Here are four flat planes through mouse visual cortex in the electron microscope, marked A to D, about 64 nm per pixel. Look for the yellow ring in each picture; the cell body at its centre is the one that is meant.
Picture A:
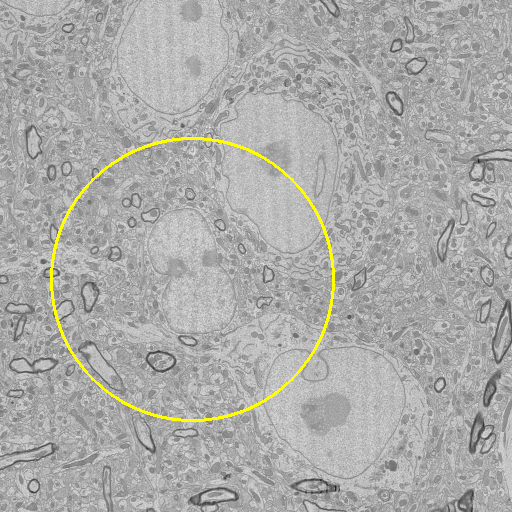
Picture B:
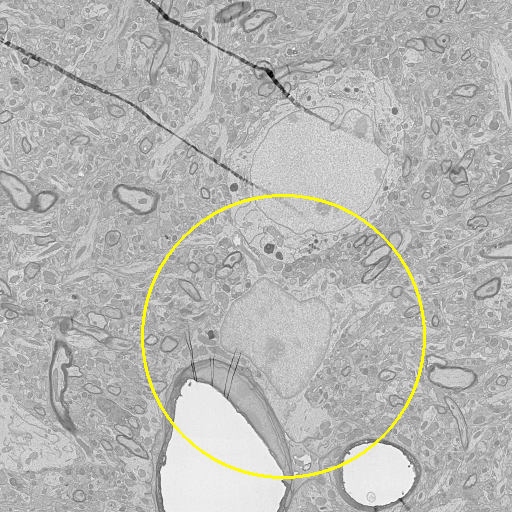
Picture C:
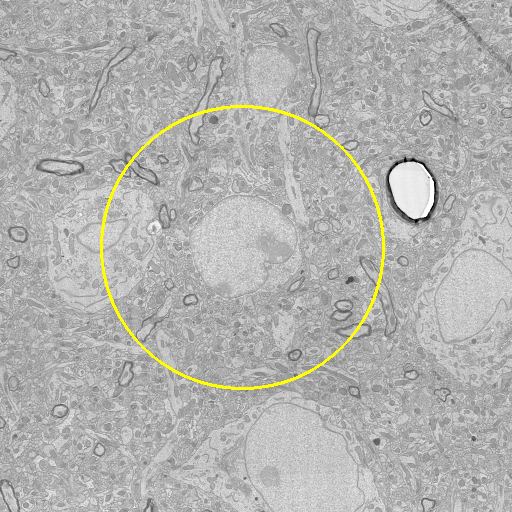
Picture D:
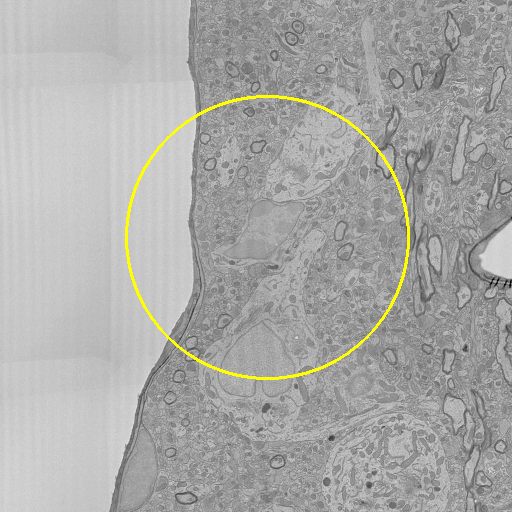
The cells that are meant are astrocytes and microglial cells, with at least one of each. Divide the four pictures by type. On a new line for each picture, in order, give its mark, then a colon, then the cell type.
A: astrocyte
B: astrocyte
C: astrocyte
D: microglial cell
